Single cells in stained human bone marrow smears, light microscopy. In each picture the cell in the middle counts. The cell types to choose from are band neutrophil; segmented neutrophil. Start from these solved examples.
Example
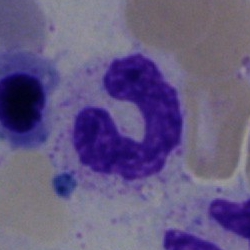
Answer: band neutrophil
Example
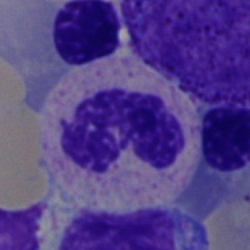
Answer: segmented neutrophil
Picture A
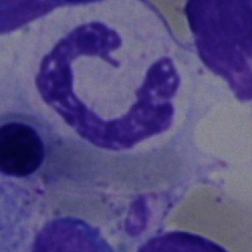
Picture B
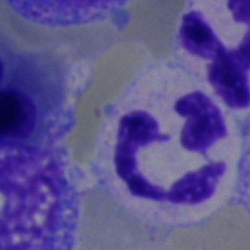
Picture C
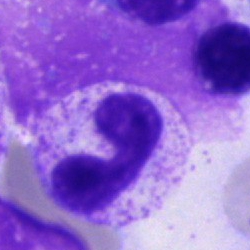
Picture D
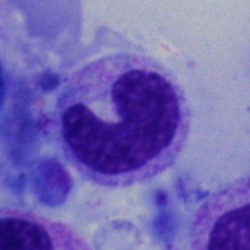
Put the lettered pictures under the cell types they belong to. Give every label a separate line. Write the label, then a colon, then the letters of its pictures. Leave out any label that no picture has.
band neutrophil: C, D
segmented neutrophil: A, B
